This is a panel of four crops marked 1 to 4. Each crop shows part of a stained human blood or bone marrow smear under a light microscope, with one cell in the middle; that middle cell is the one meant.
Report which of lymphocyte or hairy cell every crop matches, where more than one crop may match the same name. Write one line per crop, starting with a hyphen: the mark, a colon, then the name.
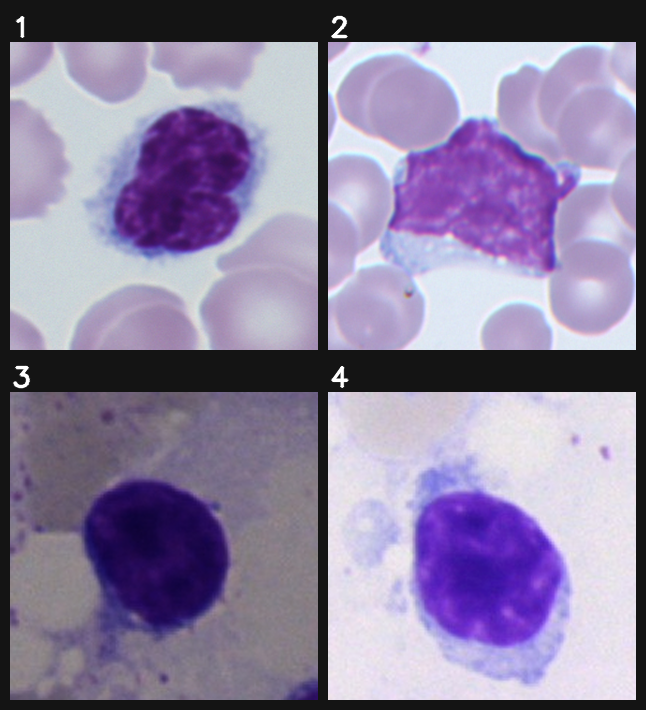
- 1: hairy cell
- 2: lymphocyte
- 3: lymphocyte
- 4: lymphocyte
